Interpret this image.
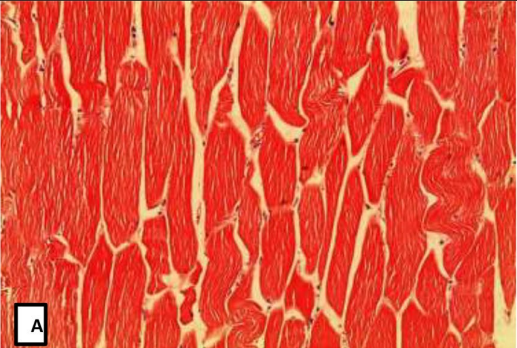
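Long fibres, bright red and finely streaked, lie side by side in roughly parallel rows running from top to bottom. Each fibre is separated from the next by a narrow pale space. Small, flat, dark blue nuclei sit at the edges of the fibres and in the thin tissue between them. The fibres are fairly even in width and colour, and there are no crowded clusters of cells between them, giving the orderly look of normal muscle.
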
